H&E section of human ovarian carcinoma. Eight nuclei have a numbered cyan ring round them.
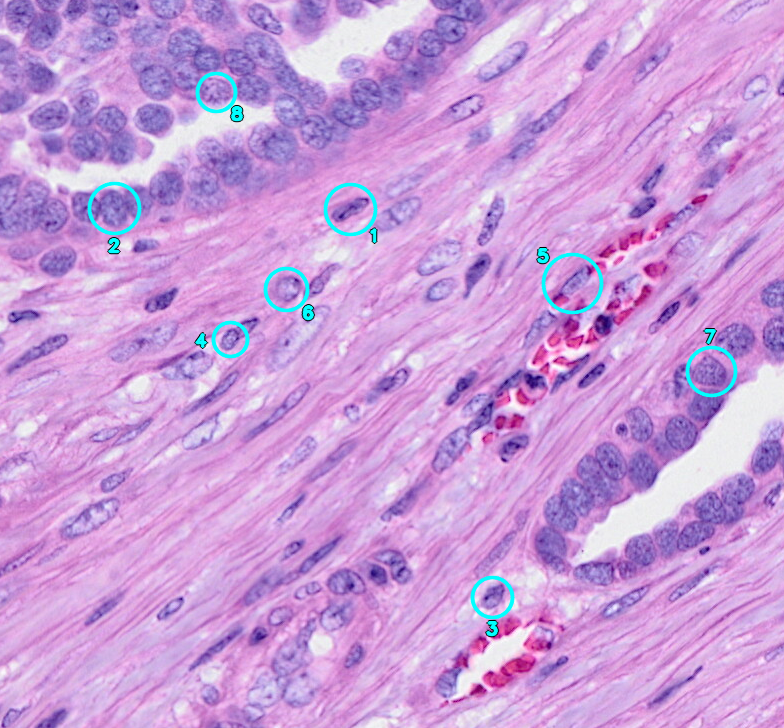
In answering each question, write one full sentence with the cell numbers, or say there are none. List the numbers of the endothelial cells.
It is cell 5, and no other numbered cell, that is an endothelial cell.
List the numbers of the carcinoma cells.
The cells with labels 2, 7 and 8 are carcinoma cells.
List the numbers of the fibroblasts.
Cell 6 is a fibroblast, while all remaining marked cells are of other types.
